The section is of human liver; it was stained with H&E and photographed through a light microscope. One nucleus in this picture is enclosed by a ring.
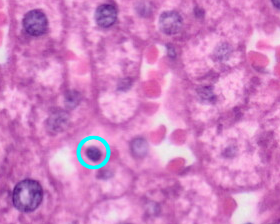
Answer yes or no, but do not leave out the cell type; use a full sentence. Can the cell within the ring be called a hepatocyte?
No, within this section, the cell within the ring is categorized as a lymphocyte rather than a hepatocyte.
